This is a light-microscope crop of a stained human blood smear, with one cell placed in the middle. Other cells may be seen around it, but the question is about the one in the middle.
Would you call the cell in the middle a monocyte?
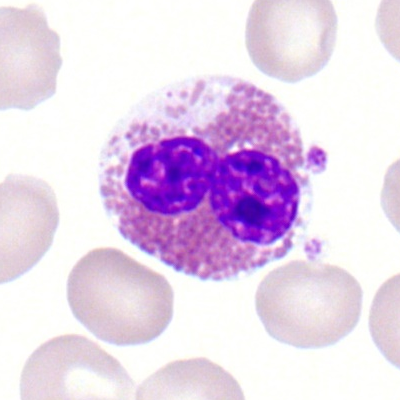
no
